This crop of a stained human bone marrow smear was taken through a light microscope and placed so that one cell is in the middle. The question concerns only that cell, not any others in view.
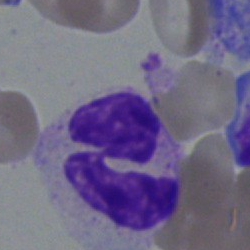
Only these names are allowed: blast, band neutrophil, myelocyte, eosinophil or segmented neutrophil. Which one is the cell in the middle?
segmented neutrophil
